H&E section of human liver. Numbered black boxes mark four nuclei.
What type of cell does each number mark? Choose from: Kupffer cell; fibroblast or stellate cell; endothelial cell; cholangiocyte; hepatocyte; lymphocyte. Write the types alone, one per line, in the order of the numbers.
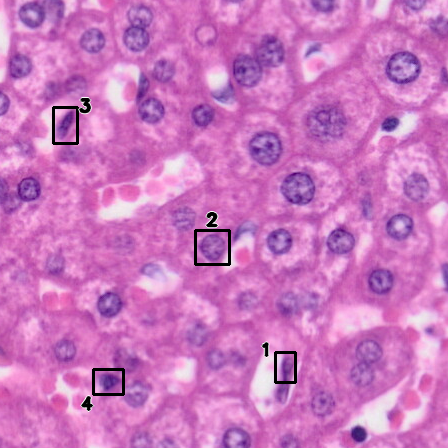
Kupffer cell
hepatocyte
Kupffer cell
fibroblast or stellate cell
